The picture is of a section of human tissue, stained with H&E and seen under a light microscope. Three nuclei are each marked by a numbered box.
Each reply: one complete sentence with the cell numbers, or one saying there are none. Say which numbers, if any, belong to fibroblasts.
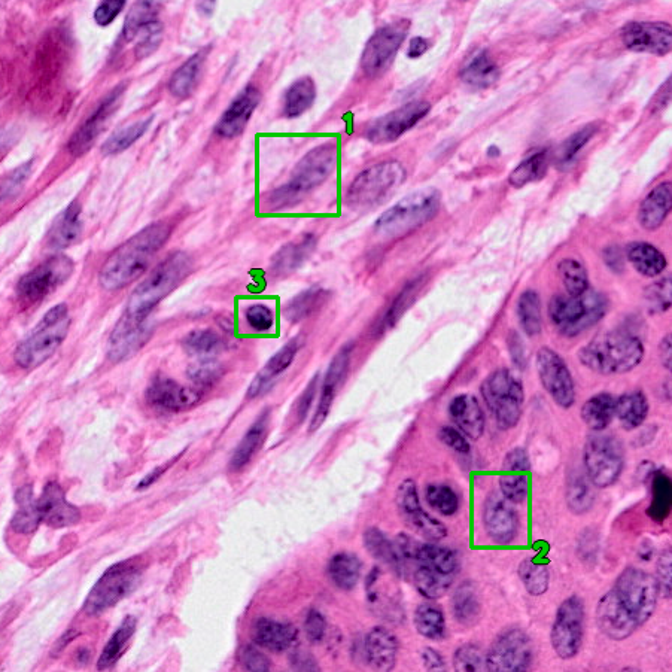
No marked cell except number 1 is a fibroblast.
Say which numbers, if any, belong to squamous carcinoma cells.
In contrast to the remaining marked cells, cell 2 is a squamous carcinoma cell.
